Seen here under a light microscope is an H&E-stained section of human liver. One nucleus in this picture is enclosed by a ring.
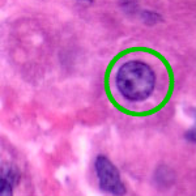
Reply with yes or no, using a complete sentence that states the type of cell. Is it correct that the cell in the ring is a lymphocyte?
No, the cell in the ring is not a lymphocyte, but is instead a hepatocyte.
